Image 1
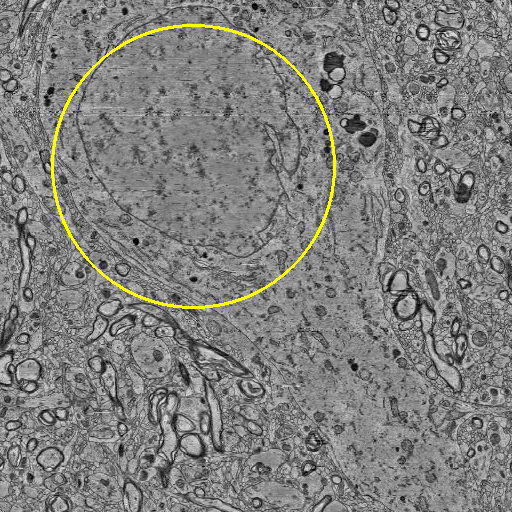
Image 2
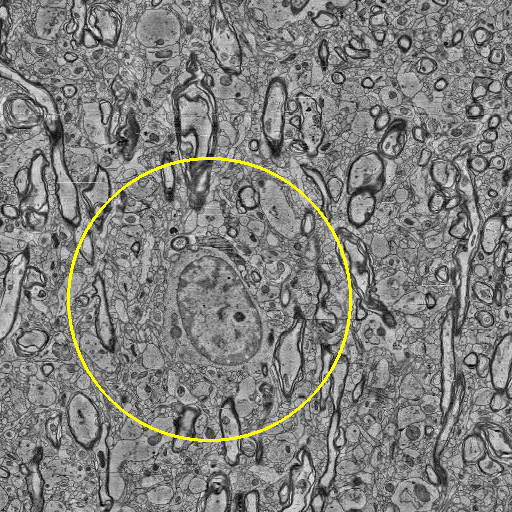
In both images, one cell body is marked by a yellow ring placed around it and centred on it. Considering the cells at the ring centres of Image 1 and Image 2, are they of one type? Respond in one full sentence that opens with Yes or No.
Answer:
No, two types apply to the ring-centred cells of Image 1 and Image 2.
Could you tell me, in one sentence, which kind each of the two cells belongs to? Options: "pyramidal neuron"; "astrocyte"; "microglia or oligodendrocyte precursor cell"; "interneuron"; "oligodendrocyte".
At the centre of the first ring sits a pyramidal neuron, and at the centre of the second sits an oligodendrocyte.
